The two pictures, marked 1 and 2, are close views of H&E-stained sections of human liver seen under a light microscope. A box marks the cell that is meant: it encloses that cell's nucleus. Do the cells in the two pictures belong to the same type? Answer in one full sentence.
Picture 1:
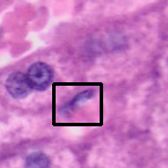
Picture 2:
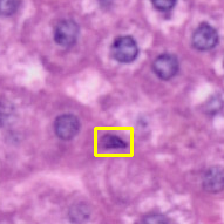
No, picture 1 shows an endothelial cell and picture 2 shows a “fibroblast or stellate cell”.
